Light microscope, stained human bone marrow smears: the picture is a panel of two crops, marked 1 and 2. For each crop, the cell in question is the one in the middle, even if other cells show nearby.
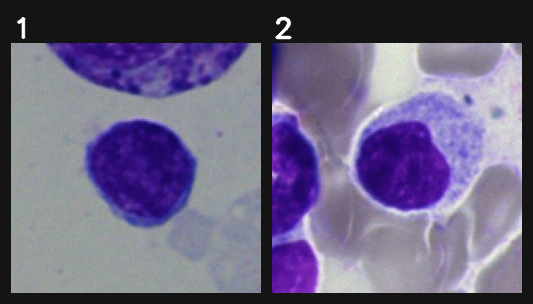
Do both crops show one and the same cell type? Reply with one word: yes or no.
yes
